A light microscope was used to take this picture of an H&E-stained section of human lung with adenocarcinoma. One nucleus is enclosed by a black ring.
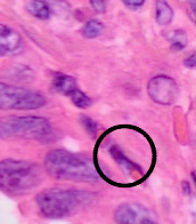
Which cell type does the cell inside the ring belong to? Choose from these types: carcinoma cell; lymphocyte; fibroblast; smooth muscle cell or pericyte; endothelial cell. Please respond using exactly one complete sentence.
The classification of the cell inside the ring is as an endothelial cell.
